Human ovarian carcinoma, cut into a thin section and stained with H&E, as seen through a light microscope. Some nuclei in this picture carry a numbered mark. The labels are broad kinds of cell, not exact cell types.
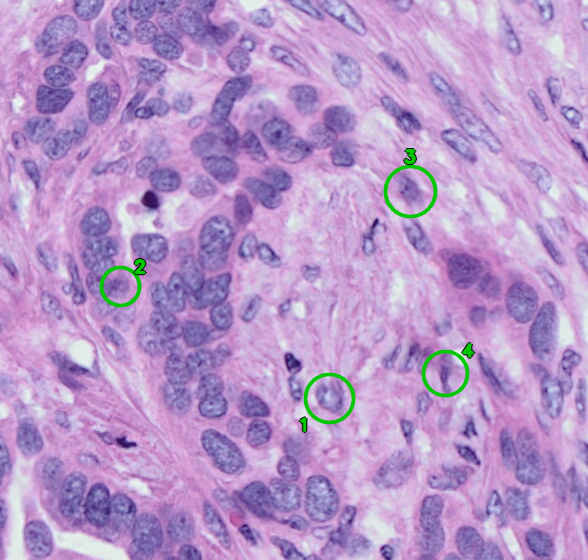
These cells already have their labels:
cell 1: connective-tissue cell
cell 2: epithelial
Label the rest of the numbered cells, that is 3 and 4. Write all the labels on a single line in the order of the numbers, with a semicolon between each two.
connective-tissue cell; connective-tissue cell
